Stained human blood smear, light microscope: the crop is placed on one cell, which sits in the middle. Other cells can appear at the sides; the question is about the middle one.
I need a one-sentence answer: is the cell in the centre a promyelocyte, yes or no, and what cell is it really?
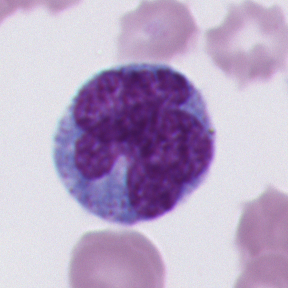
No; rather than a promyelocyte, the cell at the center is a monocyte.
